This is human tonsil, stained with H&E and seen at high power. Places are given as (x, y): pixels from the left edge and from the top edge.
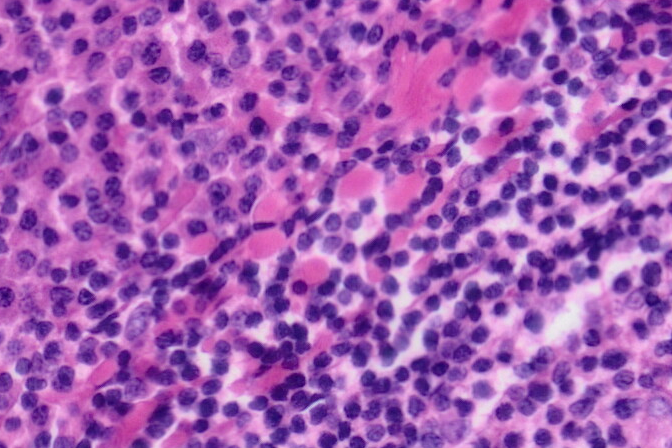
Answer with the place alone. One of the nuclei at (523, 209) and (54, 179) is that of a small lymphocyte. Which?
(523, 209)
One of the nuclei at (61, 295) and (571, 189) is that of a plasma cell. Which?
(61, 295)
